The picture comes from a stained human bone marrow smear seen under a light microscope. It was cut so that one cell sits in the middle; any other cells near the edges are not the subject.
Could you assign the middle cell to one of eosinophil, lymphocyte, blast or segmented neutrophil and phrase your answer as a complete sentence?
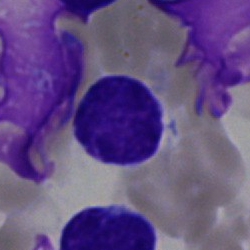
The cell of interest, in the center, is a lymphocyte.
